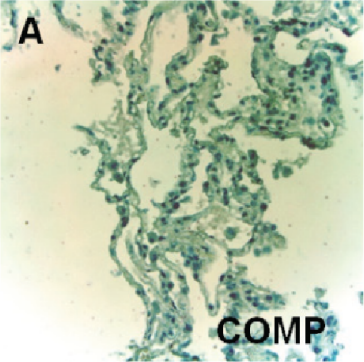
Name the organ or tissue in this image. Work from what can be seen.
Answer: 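Thin branching septa outline open air spaces. Septa are only a few cells thick. No red deposit is visible. That points to this answer: healthy lung parenchyma.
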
